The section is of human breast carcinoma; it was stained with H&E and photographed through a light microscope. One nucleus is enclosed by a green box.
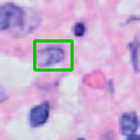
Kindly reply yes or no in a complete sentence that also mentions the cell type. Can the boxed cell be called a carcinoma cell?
No, the boxed cell is not a carcinoma cell but an endothelial cell.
